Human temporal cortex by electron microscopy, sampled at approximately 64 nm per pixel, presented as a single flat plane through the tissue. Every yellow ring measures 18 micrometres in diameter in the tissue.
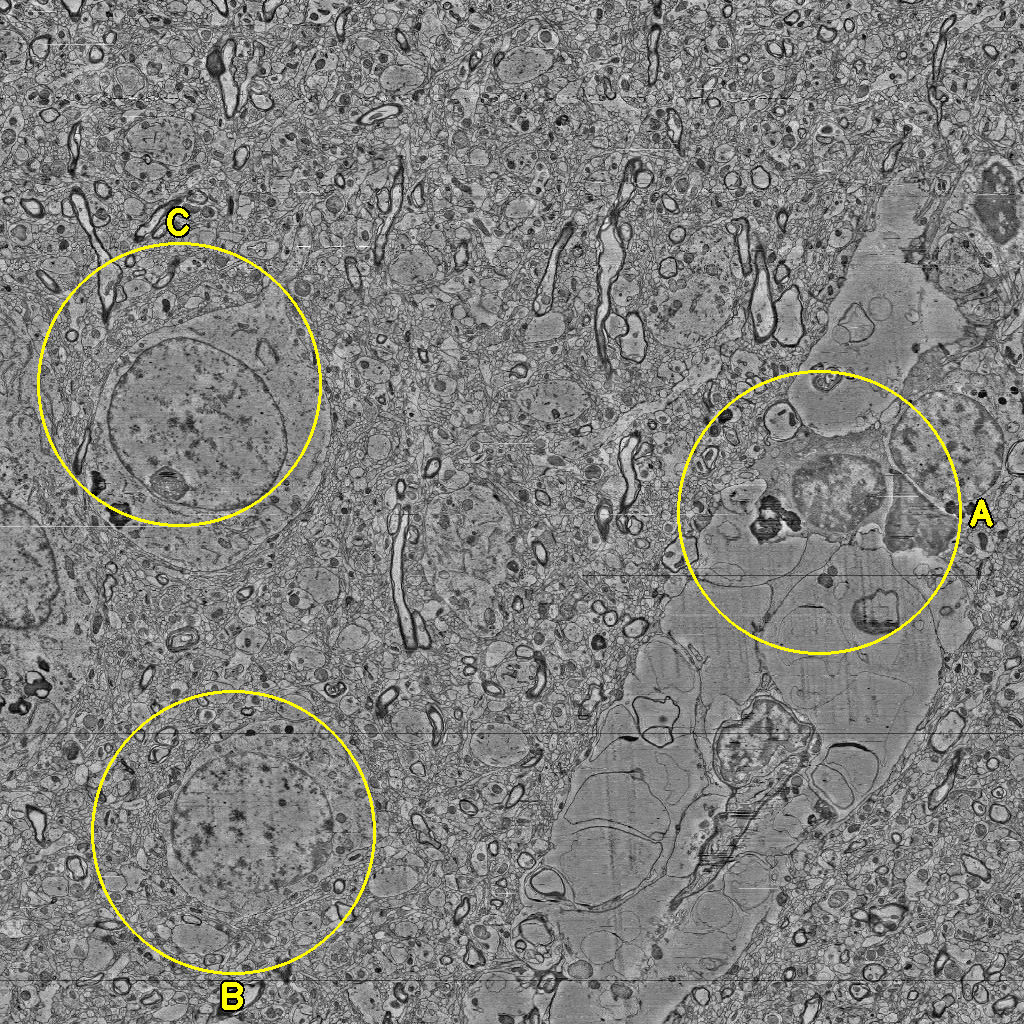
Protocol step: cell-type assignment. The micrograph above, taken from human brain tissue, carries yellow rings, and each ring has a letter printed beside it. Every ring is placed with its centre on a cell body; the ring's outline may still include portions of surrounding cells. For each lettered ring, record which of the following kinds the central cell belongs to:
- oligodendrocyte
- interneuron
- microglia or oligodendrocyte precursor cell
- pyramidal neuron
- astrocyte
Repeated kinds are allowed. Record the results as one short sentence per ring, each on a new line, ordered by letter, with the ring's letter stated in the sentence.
In ring A, the central cell is an oligodendrocyte.
In ring B, the central cell is an interneuron.
In ring C, the central cell is a pyramidal neuron.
